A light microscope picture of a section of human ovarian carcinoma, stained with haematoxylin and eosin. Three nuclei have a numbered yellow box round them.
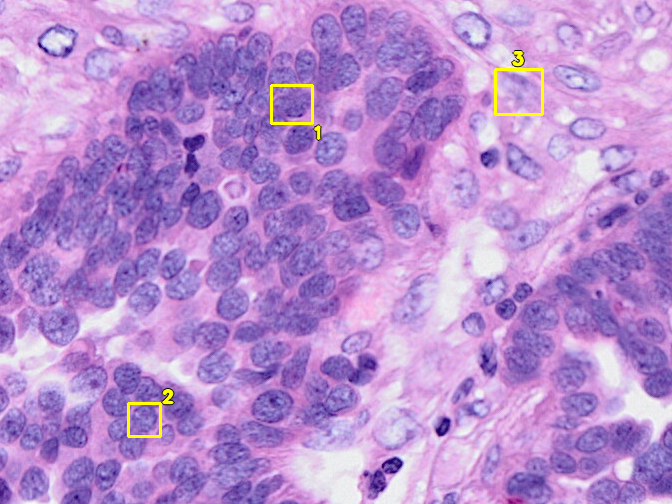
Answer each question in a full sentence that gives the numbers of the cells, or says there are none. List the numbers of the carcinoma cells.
Identification: the cells with numbers 1 and 2 are carcinoma cells.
